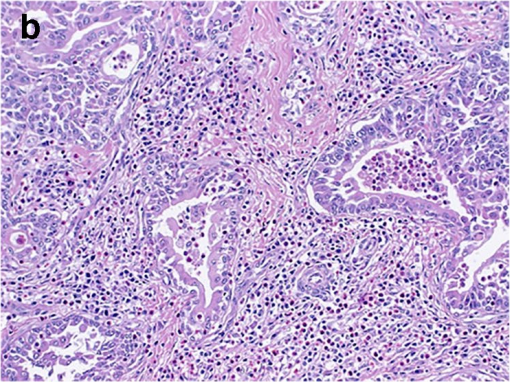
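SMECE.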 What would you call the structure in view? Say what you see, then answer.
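Epithelial cells line irregular, branching lumens. The lumens lie within a cellular, inflamed stroma. On this evidence: irregular branching gland-like structures.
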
